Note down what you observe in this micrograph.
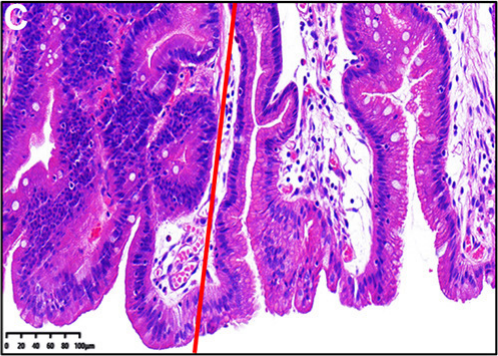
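Gastric mucosal epithelium stained with hematoxylin and eosin, in which two kinds of glandular epithelium lie on either side of a drawn line. On the left, the epithelial cells are crowded and stain dark purple; their nuclei are enlarged, elongated and stacked, filling much of each cell with little cytoplasm. On the right, the foveolar-type columnar cells are tall, with pale pink cytoplasm and small nuclei lined up at the base. Scattered clear vacuoles occur among the cells on the left. Thin loose stroma with small vessels and scattered cells runs between the glands.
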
